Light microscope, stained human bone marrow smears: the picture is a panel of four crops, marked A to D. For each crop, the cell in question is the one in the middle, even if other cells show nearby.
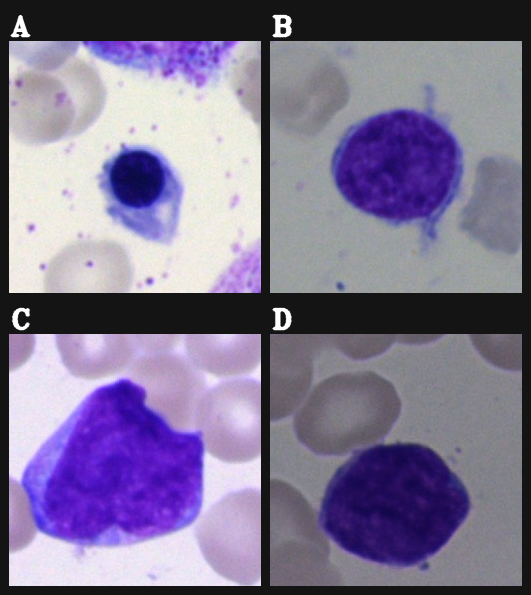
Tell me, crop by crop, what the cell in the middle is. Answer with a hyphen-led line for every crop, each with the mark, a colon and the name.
- A: erythroblast
- B: lymphocyte
- C: blast
- D: blast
